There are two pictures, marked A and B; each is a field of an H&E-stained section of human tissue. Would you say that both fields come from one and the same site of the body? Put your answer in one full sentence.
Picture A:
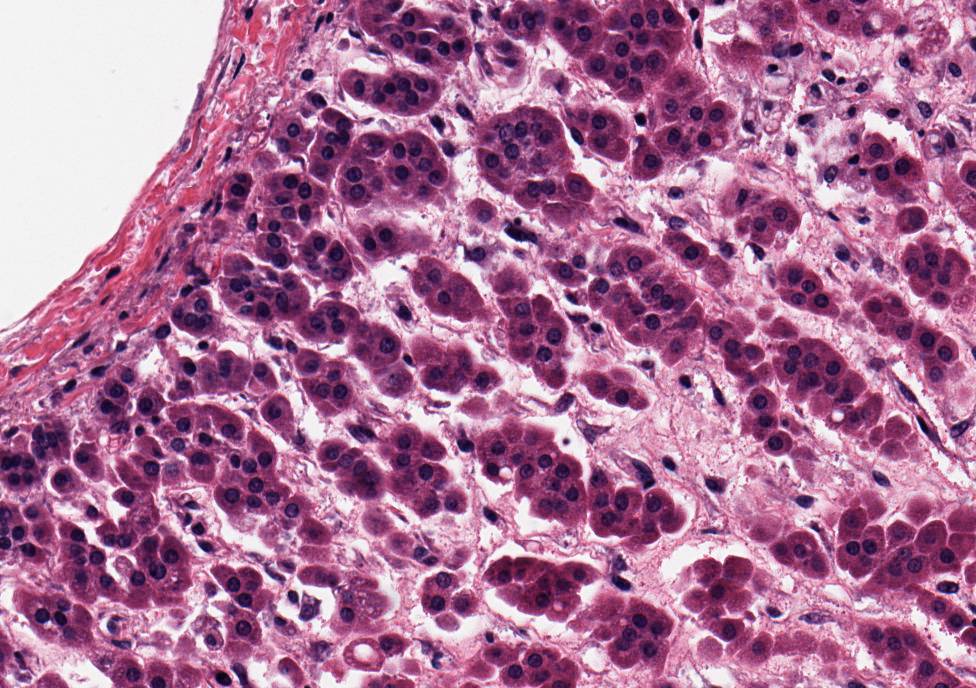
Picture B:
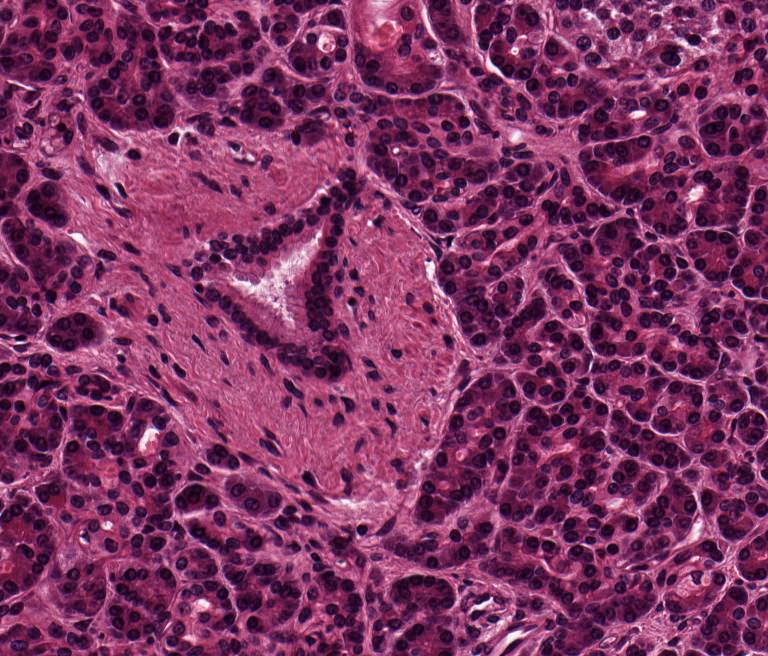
No, picture A comes from the adrenal gland and picture B comes from the pancreas.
